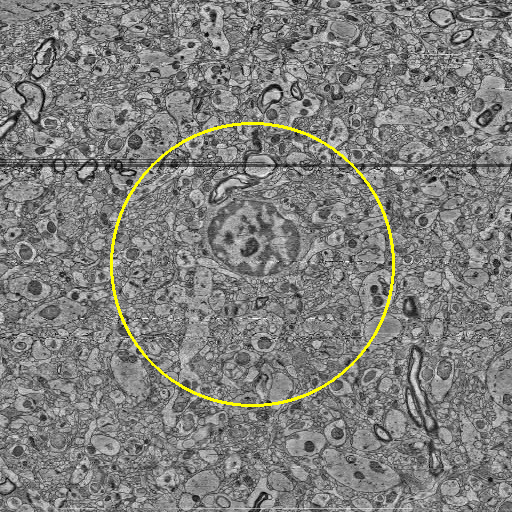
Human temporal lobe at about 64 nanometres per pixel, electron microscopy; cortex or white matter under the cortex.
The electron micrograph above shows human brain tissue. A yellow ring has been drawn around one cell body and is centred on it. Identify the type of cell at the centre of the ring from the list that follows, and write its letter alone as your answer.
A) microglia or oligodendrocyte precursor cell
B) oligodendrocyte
B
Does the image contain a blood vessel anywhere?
No.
